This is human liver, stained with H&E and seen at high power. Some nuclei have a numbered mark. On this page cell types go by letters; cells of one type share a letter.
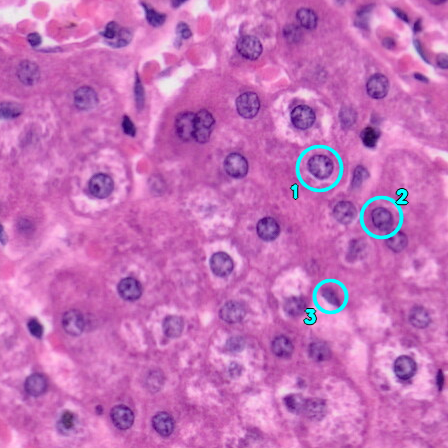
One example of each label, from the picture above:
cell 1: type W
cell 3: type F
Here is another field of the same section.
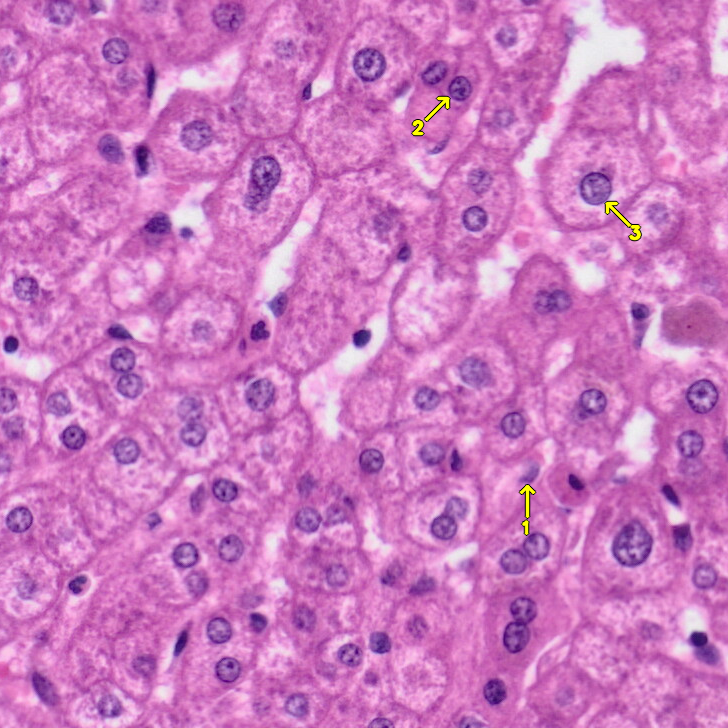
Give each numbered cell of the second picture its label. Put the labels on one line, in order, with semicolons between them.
type F; type W; type W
